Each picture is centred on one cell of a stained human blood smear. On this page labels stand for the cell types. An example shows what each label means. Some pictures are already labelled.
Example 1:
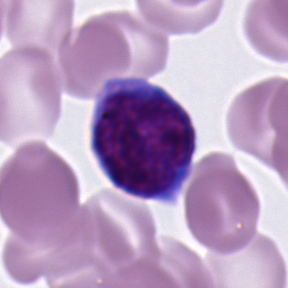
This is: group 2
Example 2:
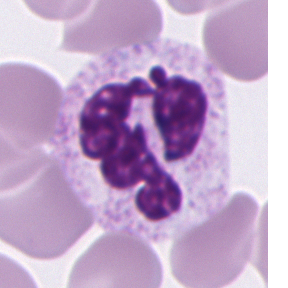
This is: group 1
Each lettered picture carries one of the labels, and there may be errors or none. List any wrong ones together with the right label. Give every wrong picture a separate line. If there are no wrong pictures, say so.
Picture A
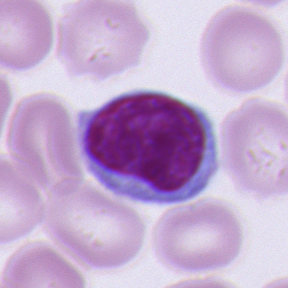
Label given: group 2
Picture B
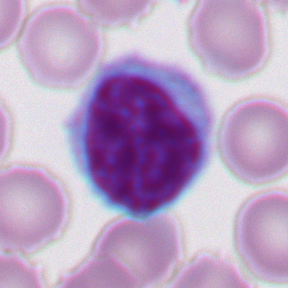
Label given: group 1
B should be group 2, not group 1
